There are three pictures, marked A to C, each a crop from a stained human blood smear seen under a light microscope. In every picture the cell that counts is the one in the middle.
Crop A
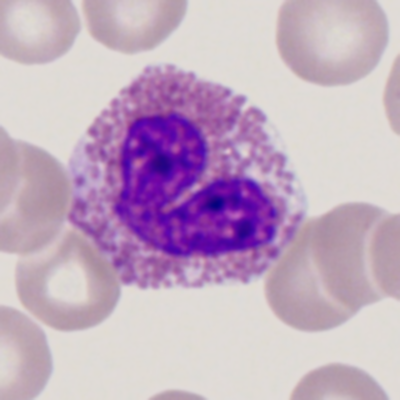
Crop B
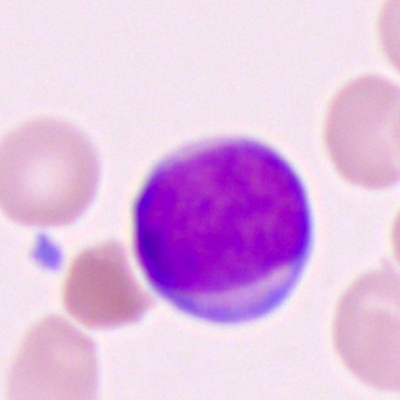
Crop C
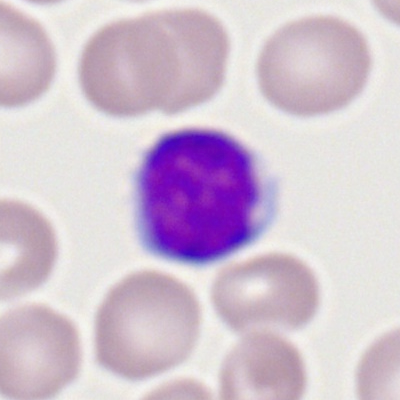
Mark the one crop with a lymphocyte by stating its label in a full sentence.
In this set, crop C is the one showing a lymphocyte.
